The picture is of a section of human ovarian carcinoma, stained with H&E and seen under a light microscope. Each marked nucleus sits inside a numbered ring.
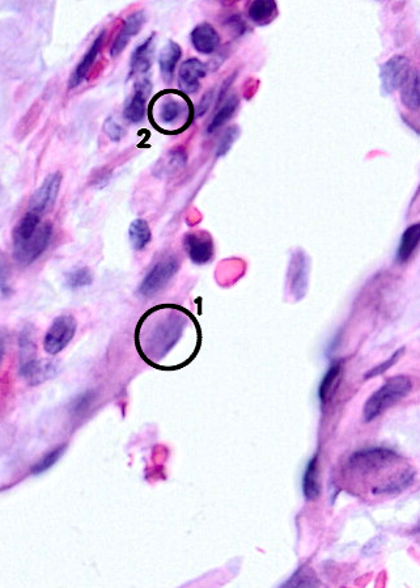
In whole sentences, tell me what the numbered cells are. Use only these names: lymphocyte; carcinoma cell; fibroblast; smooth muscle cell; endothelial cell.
Cell 1 is an endothelial cell. Cell 2 is a lymphocyte.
